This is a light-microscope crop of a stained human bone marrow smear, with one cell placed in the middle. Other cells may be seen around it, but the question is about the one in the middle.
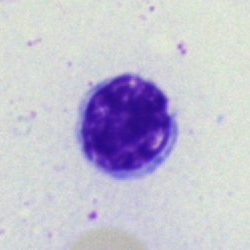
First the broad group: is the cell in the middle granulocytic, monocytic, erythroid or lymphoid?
lymphoid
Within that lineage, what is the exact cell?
lymphocyte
